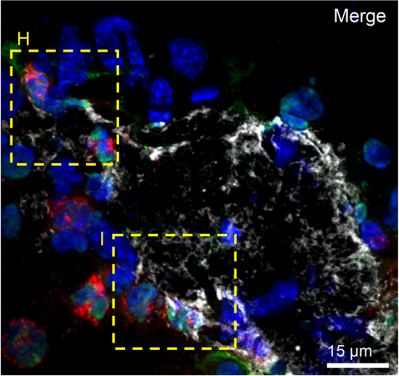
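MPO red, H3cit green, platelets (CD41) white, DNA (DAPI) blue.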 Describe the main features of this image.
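Blue nuclei of varied shape are scattered throughout, some oval, some irregular. Several cells have red granular cytoplasm around a blue nucleus; a few of these carry green patches overlapping the nuclear region. These red and green cells lie directly against the edges of the white meshwork, where the colours intermingle. The white material itself contains no nuclei, consistent with small anucleate fragments aggregated together.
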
